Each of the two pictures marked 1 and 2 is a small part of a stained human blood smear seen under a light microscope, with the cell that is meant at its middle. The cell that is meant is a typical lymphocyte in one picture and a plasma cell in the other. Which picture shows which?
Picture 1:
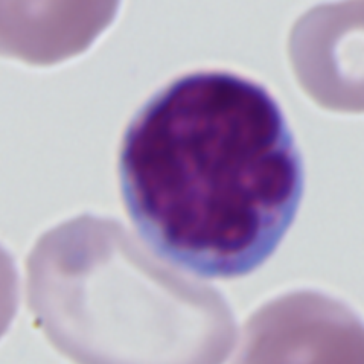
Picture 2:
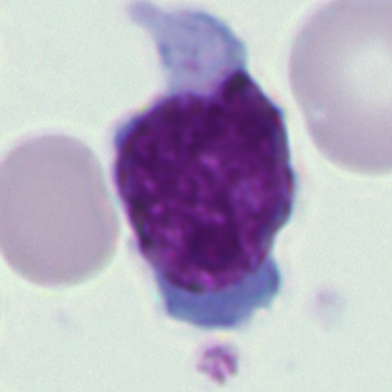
1: typical lymphocyte
2: plasma cell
